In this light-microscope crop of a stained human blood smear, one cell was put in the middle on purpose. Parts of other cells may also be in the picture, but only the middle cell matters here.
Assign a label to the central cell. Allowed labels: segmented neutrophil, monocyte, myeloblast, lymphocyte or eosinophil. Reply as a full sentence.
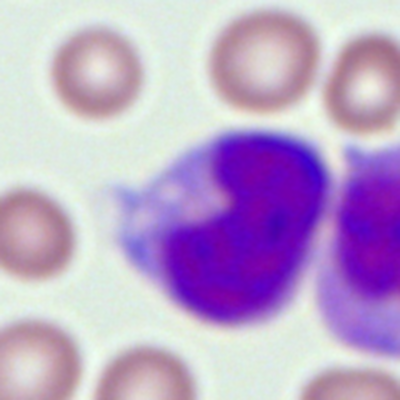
The center cell of this crop is a monocyte.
